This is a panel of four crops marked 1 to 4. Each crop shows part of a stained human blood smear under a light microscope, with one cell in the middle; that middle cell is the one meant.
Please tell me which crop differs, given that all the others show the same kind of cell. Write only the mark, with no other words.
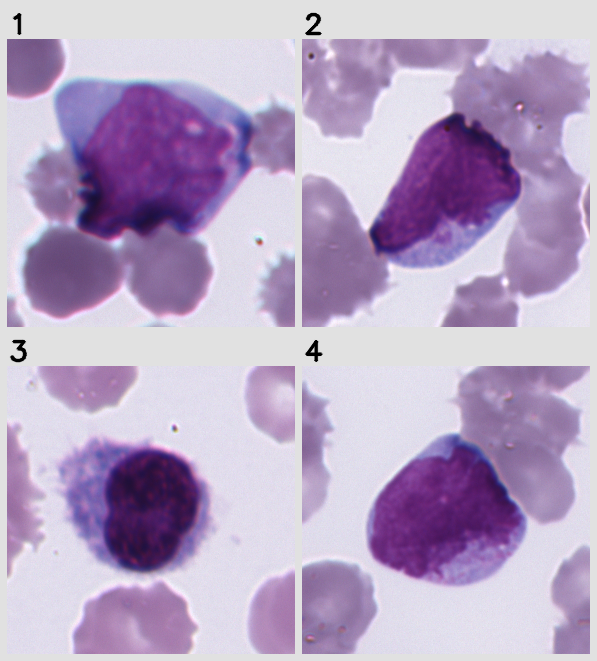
3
